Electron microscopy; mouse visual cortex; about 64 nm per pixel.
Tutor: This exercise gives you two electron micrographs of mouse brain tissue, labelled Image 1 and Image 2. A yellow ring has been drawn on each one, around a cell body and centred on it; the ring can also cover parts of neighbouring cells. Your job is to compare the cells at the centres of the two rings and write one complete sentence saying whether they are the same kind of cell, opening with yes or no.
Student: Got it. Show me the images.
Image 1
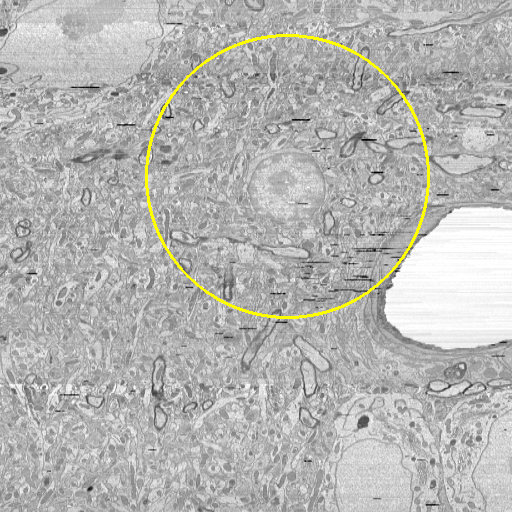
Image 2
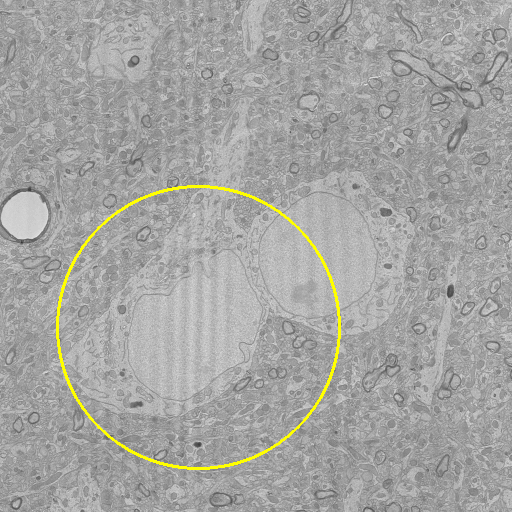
No, the two cells belong to two kinds.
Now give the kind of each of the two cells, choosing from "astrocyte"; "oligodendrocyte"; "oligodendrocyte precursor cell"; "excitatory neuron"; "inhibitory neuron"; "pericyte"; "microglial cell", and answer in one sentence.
The cell in the first picture is an oligodendrocyte, and the cell in the second is an excitatory neuron.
